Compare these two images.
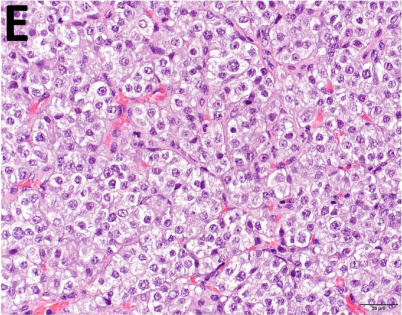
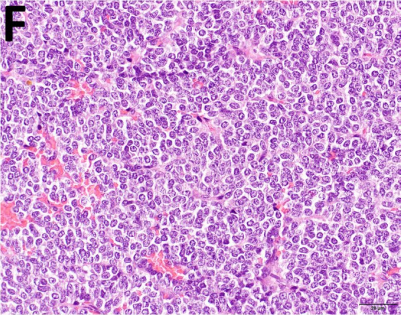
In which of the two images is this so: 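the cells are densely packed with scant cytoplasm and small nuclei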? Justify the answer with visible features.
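Second image: crowded dark nuclei with little cytoplasm between them. First image: cells with abundant pale cytoplasm and well-spaced round nuclei. So: the second image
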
